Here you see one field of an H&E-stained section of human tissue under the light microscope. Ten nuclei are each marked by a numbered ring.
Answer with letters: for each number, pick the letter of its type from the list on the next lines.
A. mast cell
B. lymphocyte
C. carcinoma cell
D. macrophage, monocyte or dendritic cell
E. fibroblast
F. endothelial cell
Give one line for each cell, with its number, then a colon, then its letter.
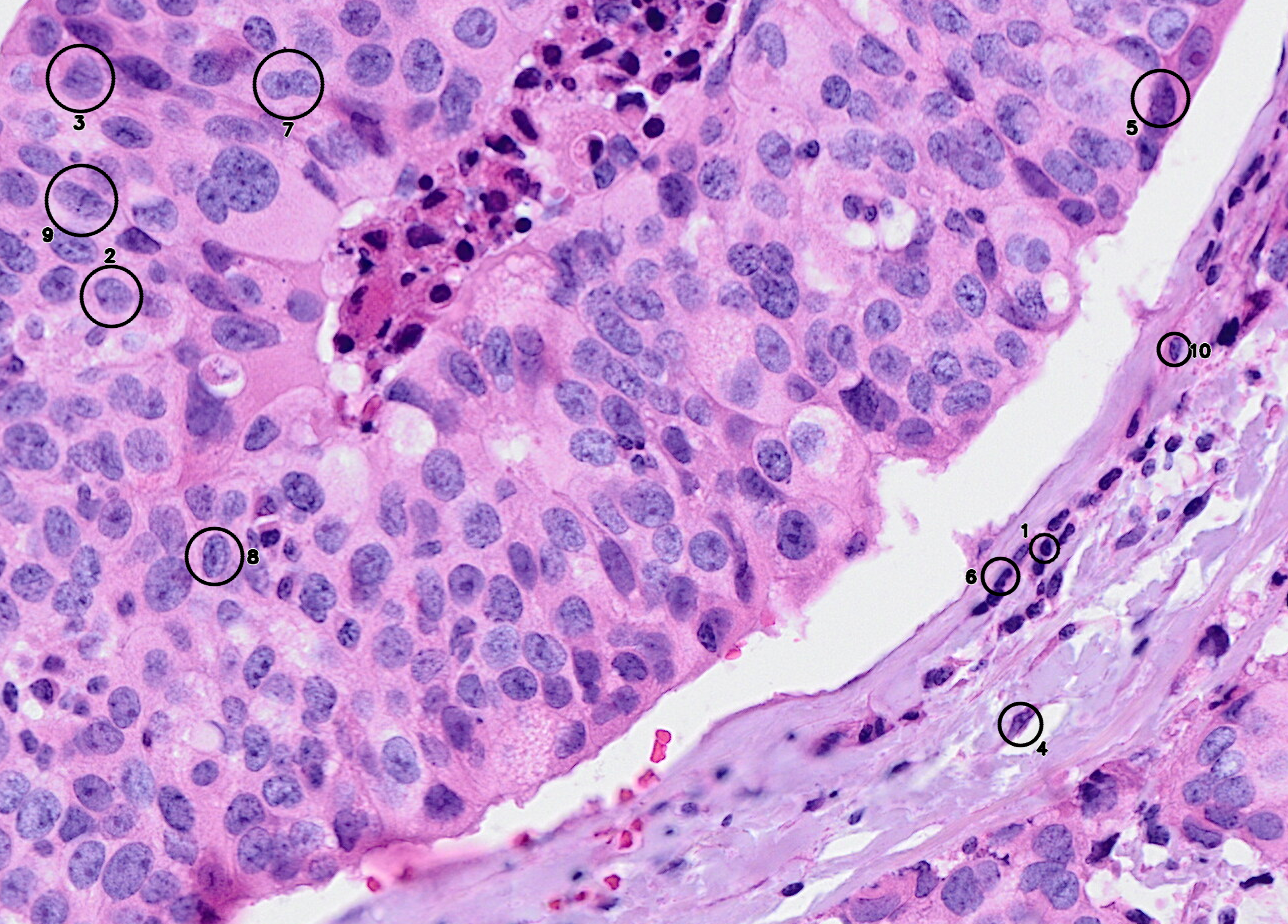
1: B
2: C
3: C
4: E
5: C
6: B
7: C
8: C
9: C
10: A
